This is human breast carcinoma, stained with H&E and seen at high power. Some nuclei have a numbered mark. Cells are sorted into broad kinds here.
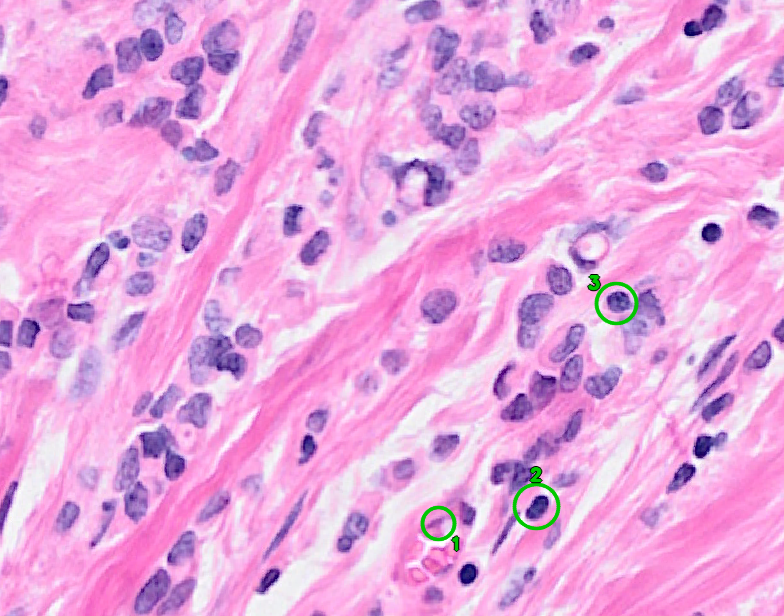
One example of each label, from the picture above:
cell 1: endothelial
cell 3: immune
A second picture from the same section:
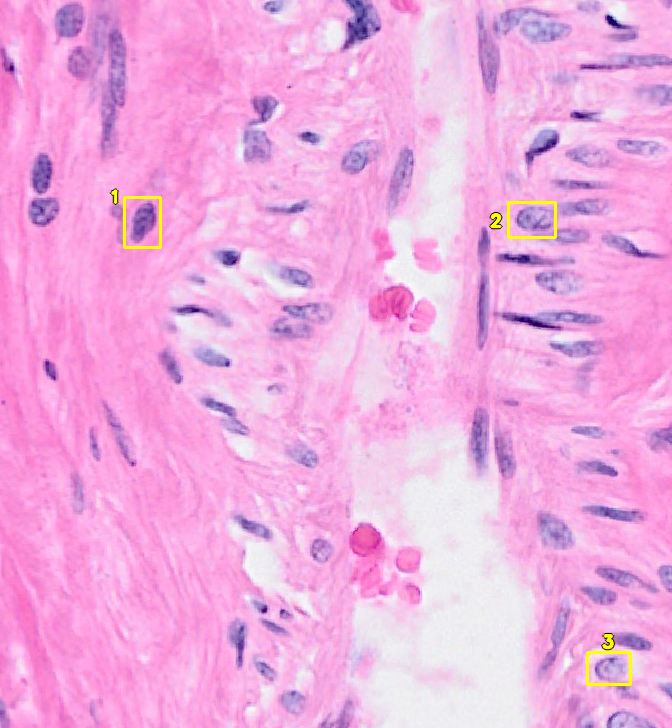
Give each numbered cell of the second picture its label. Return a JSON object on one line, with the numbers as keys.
{"1": "immune", "2": "endothelial", "3": "endothelial"}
